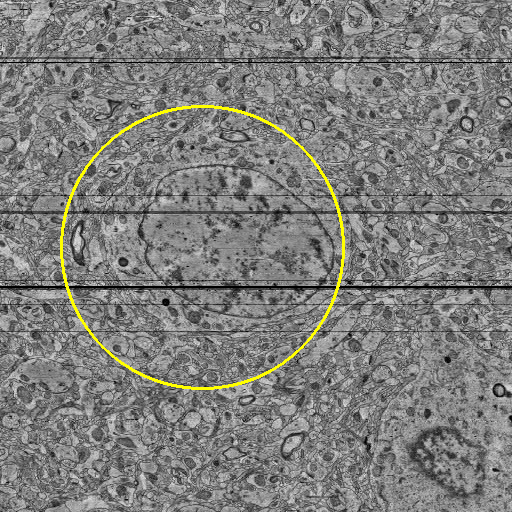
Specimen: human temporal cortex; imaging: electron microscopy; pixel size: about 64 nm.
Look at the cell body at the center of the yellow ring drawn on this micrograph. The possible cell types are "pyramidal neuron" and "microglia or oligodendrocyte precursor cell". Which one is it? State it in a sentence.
The cell in the middle of the ring is a pyramidal neuron.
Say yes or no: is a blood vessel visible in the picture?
No, no vessel appears in the picture.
